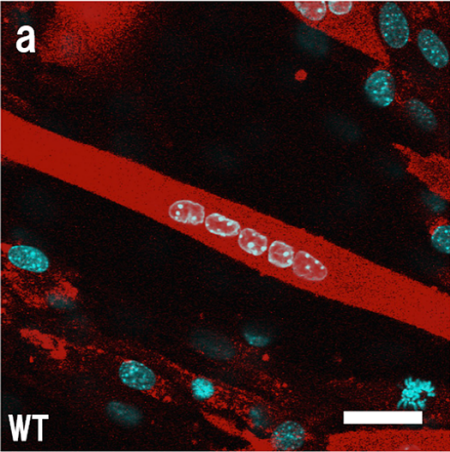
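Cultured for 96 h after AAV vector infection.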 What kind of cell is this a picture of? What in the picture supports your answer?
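Myotube. A long, broad, uniformly red band crosses the field diagonally. Several nuclei lie in a row inside the band. The band is much wider and longer than the surrounding single cells.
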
